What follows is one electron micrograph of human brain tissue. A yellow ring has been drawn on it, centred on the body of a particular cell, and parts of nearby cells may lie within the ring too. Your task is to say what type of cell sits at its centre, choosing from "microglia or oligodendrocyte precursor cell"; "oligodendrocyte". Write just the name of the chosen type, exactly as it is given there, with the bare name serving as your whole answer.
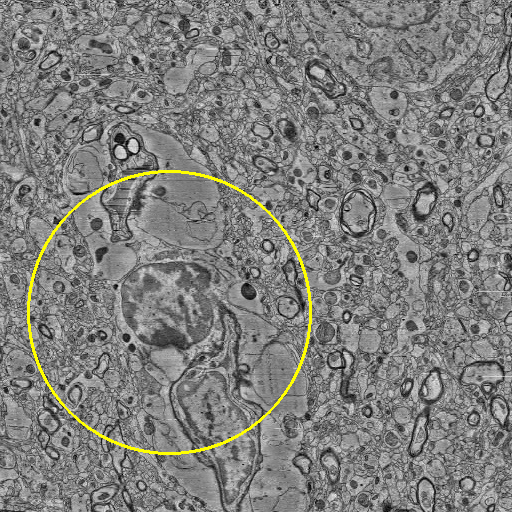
microglia or oligodendrocyte precursor cell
